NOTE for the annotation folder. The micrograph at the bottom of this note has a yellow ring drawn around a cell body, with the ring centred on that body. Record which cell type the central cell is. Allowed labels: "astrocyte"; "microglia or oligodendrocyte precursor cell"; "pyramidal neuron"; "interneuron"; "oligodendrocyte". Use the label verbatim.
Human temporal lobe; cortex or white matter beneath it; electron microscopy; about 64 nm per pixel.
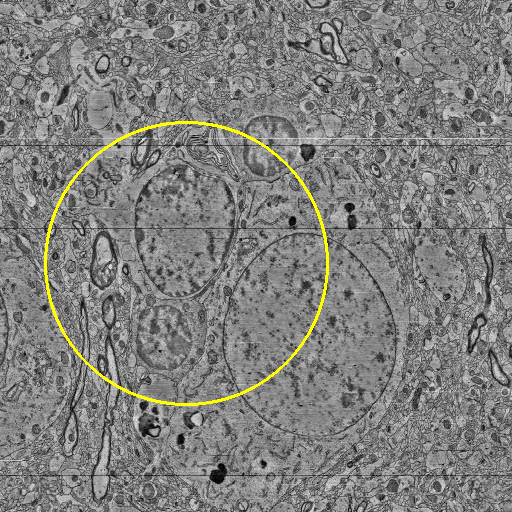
astrocyte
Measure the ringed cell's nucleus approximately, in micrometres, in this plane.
In this plane, about 9 micrometres in length and 6 in width.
